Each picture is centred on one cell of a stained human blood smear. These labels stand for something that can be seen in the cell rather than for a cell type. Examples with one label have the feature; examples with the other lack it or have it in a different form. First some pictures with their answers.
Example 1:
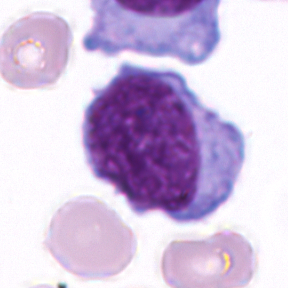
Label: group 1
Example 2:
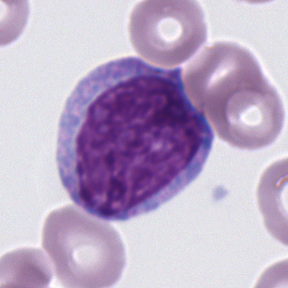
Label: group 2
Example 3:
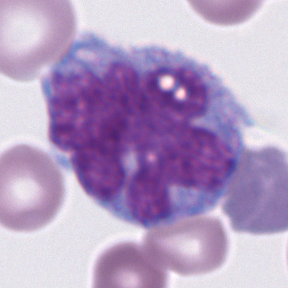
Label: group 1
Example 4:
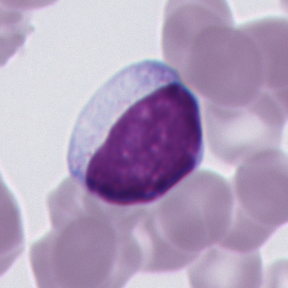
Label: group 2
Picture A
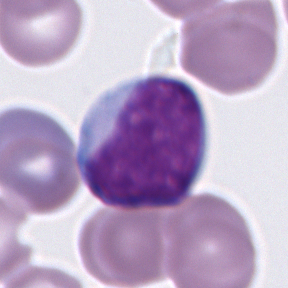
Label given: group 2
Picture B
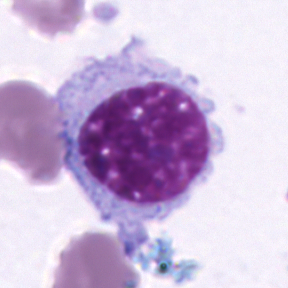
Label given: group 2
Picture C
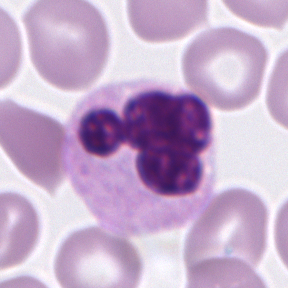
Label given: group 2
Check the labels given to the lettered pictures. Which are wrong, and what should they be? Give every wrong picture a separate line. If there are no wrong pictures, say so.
B: group 1, not group 2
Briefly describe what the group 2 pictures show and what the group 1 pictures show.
group 2: smooth outline; group 1: ragged outline or projections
